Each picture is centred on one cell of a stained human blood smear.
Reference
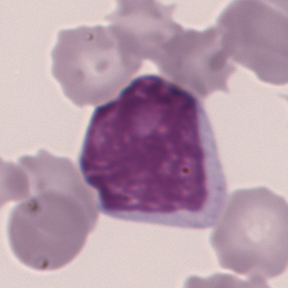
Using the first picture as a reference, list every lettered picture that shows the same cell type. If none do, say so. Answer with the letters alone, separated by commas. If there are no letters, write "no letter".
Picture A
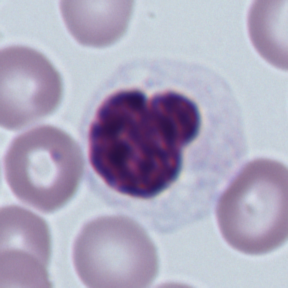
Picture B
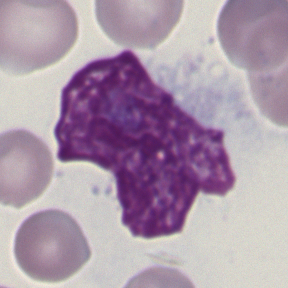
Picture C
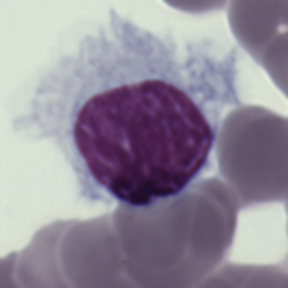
B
